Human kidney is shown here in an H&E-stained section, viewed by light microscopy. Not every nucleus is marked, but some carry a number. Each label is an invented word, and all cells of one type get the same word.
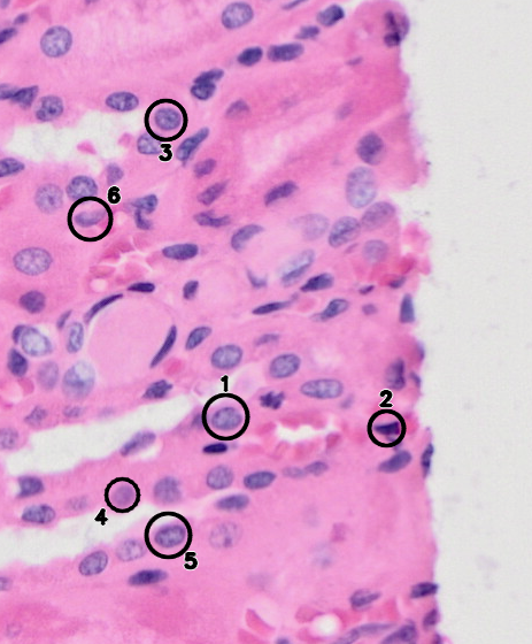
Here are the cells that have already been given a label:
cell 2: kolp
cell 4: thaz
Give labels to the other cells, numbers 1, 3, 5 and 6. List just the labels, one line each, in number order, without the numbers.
thaz
thaz
thaz
kolp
